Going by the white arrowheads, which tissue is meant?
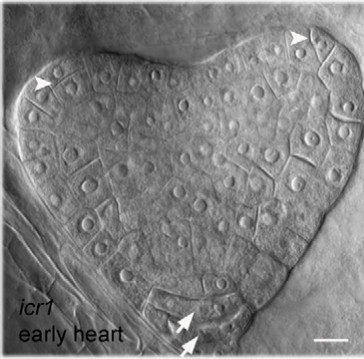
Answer: protoderm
